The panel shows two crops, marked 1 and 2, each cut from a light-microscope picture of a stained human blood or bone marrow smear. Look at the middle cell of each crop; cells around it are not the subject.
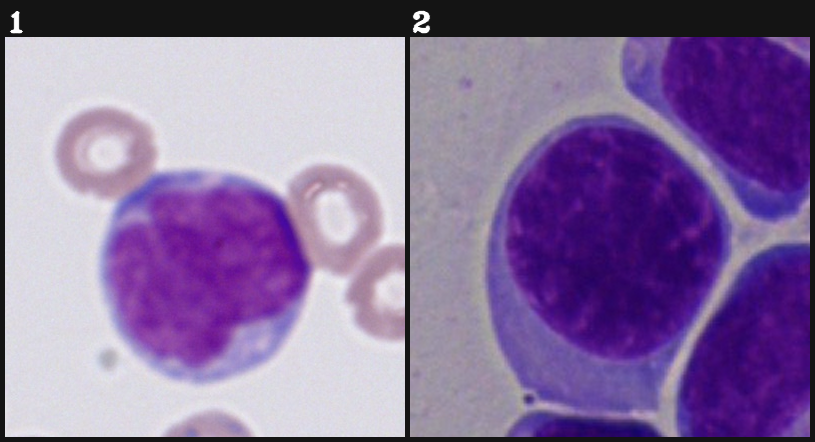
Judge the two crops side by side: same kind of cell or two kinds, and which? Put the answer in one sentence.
Yes, both crops show blasts at their middles.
